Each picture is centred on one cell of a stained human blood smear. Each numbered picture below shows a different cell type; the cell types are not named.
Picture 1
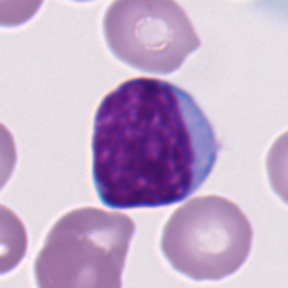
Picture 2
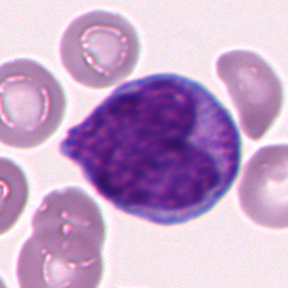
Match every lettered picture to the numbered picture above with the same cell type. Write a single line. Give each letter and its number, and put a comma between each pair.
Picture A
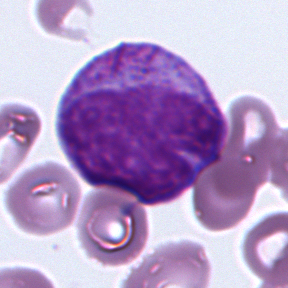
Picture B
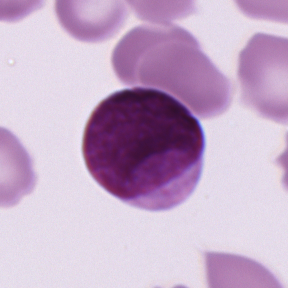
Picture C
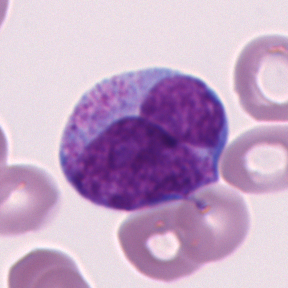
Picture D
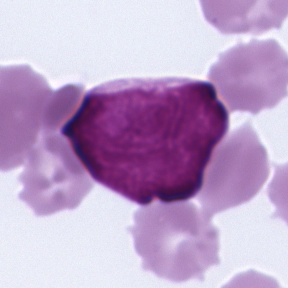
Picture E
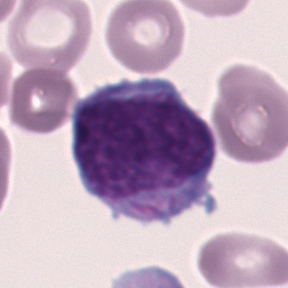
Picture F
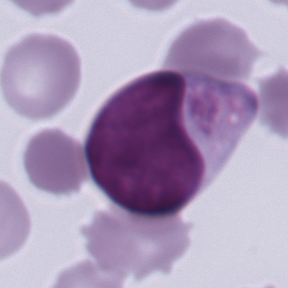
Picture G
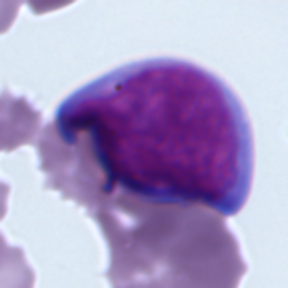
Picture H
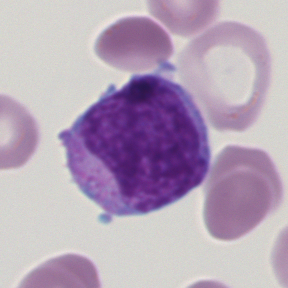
A 2, B 1, C 2, D 1, E 2, F 1, G 1, H 2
